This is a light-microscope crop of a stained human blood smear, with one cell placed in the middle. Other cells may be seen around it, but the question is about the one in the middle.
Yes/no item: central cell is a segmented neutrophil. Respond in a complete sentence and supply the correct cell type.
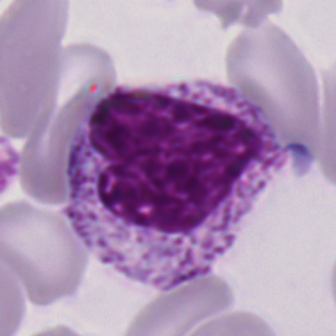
No, the cell in the middle is a band neutrophil; it is not a segmented neutrophil.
